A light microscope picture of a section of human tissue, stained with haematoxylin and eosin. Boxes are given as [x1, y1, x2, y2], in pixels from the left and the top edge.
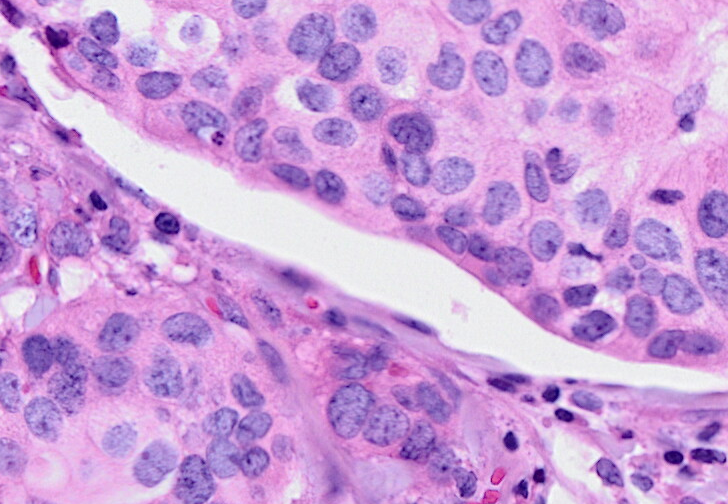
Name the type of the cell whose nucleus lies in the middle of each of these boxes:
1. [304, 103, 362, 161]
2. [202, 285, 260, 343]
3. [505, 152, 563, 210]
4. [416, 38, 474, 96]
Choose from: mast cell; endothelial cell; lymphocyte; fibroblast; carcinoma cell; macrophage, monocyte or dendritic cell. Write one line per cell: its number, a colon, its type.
1: carcinoma cell
2: endothelial cell
3: carcinoma cell
4: carcinoma cell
